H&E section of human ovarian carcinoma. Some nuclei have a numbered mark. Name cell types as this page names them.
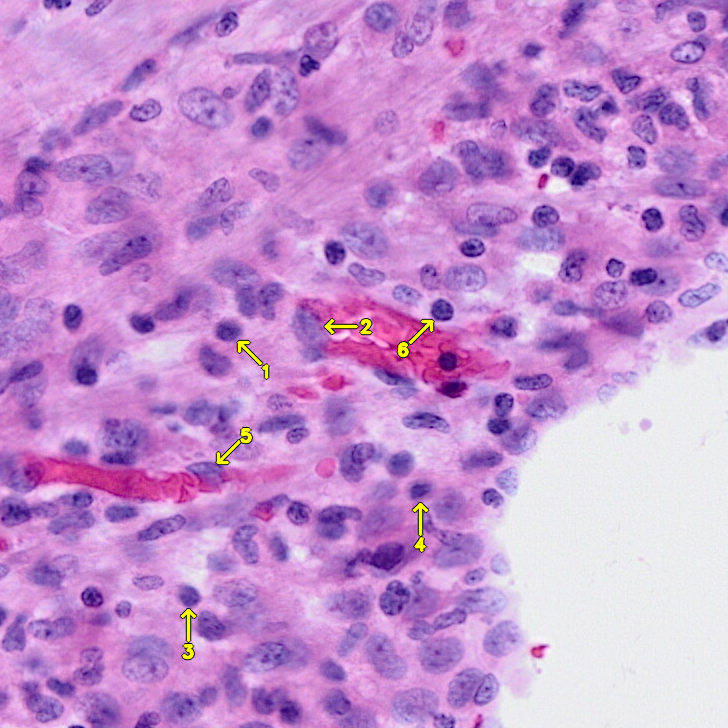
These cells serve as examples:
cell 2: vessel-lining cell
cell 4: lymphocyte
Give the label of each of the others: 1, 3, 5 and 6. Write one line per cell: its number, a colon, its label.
1: lymphocyte
3: lymphocyte
5: vessel-lining cell
6: lymphocyte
